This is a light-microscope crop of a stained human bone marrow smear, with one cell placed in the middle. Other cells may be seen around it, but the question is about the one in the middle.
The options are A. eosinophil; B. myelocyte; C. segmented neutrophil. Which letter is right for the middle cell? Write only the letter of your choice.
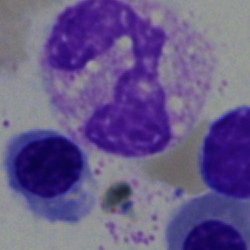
C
